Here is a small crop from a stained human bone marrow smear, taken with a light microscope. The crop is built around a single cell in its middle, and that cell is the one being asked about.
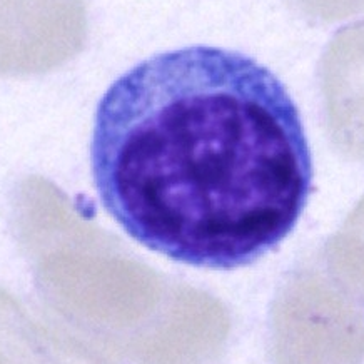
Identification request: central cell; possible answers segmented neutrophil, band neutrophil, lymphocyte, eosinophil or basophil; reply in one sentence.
At the middle of the frame sits a lymphocyte.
